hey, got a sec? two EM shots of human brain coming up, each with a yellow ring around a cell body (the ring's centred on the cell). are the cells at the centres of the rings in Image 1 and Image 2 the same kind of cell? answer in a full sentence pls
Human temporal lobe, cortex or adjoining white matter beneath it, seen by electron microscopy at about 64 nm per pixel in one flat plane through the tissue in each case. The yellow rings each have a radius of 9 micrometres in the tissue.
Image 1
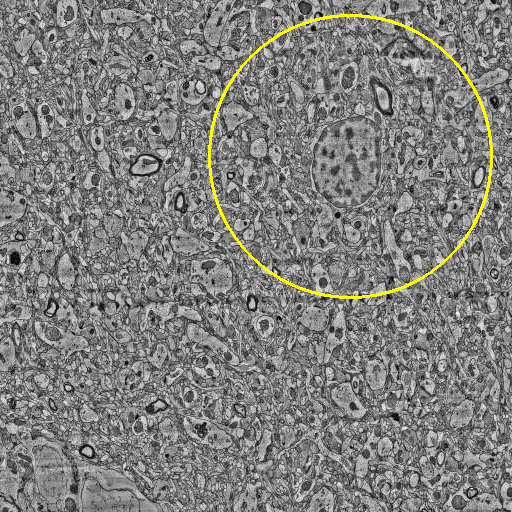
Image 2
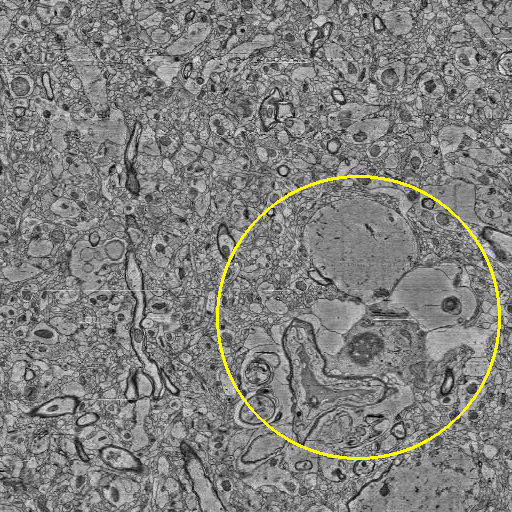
No, they are two kinds of cell.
